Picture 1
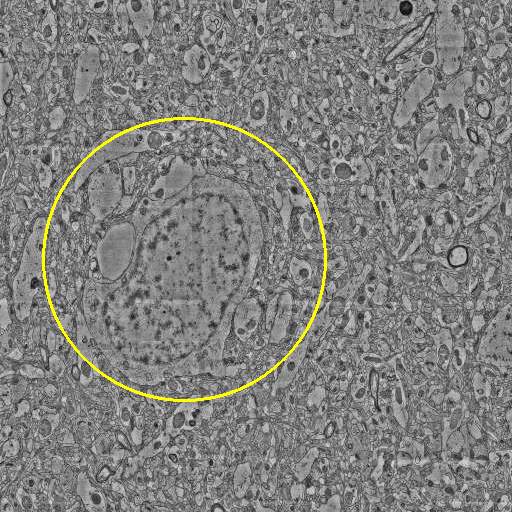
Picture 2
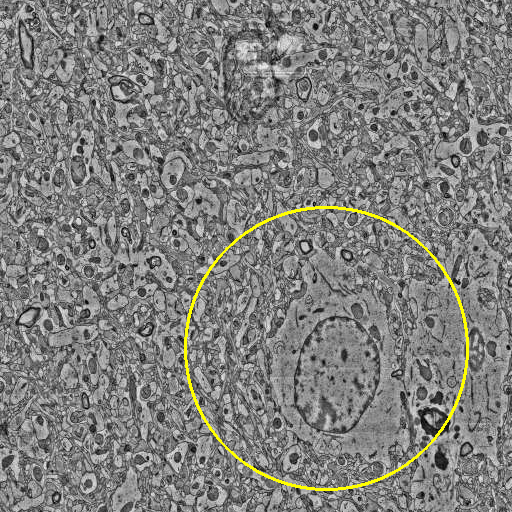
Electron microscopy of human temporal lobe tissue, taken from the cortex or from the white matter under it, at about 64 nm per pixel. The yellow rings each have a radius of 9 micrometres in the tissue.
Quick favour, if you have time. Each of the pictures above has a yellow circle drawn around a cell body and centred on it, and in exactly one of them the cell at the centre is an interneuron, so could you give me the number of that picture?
1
